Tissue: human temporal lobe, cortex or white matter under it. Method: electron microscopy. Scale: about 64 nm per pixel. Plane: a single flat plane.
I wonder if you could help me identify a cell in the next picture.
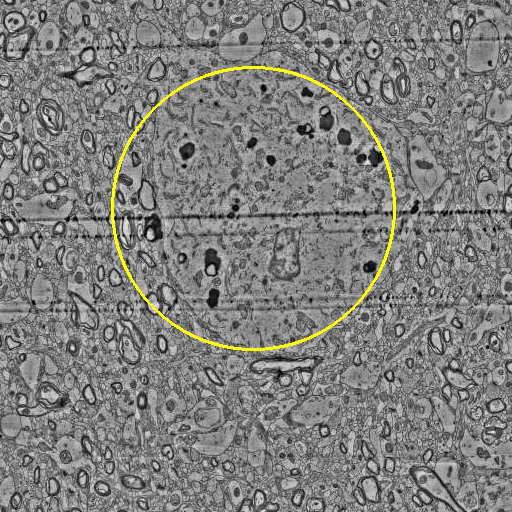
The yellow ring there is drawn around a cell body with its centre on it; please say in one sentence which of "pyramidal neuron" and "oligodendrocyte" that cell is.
The yellow ring is centred on a pyramidal neuron.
